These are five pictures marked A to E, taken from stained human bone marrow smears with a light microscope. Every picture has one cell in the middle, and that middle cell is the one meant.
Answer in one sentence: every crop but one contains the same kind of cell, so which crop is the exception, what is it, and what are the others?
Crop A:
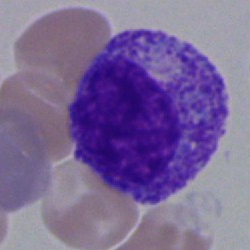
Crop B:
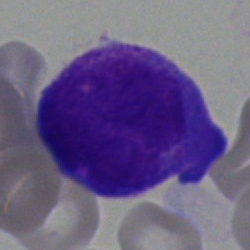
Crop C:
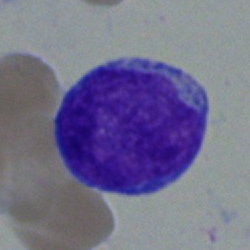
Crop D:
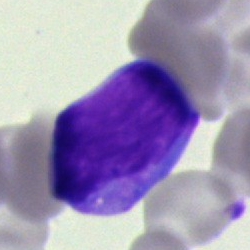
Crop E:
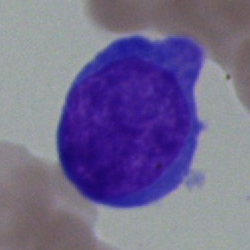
Crop A differs from its companions, showing a myelocyte where they show blasts.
